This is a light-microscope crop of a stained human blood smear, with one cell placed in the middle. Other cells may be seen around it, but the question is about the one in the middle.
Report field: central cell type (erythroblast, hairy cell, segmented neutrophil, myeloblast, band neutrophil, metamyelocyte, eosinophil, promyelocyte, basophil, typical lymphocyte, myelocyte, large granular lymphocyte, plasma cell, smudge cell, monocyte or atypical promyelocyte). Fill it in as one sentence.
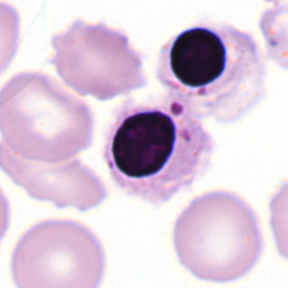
This crop is built around an erythroblast at its centre.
